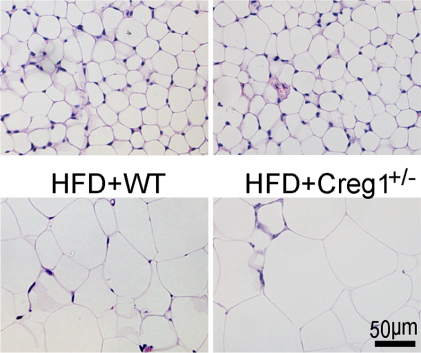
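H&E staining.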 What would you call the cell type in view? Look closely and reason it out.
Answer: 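Large, round to polygonal cells with empty-looking, unstained interiors. Thin pink-purple cell rims with flattened nuclei pressed to the edge. Cells packed closely together like a honeycomb. So: adipocytes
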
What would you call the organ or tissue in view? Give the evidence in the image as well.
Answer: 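Adipose tissue. A mesh of thin-walled empty vacuoles filling the whole field. Sparse small nuclei in the thin septa between vacuoles.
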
